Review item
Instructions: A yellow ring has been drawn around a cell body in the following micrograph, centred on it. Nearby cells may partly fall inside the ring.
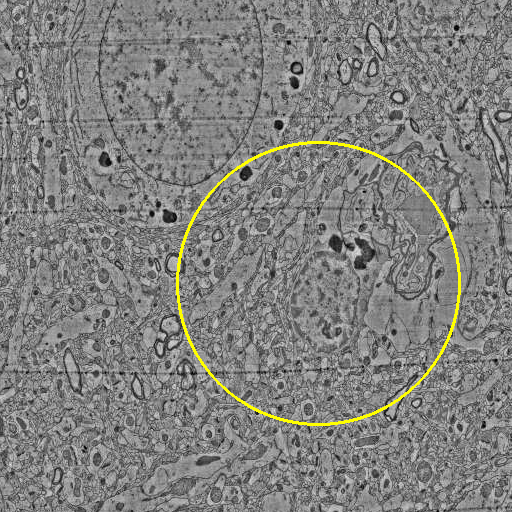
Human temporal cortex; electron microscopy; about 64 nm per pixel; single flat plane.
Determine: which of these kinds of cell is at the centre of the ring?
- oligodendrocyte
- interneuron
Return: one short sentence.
The cell body in the middle of the ring is that of an oligodendrocyte.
